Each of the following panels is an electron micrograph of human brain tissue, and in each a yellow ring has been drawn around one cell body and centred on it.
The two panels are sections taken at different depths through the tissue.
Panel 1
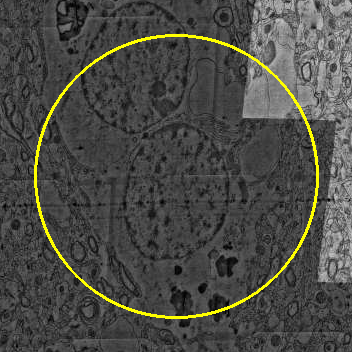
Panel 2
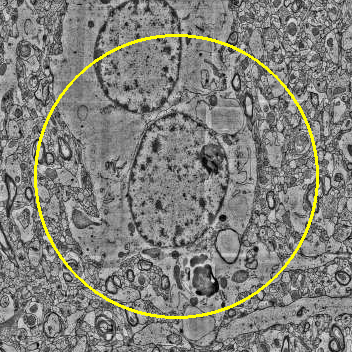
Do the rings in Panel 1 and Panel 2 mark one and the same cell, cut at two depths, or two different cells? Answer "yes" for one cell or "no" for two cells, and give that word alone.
yes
